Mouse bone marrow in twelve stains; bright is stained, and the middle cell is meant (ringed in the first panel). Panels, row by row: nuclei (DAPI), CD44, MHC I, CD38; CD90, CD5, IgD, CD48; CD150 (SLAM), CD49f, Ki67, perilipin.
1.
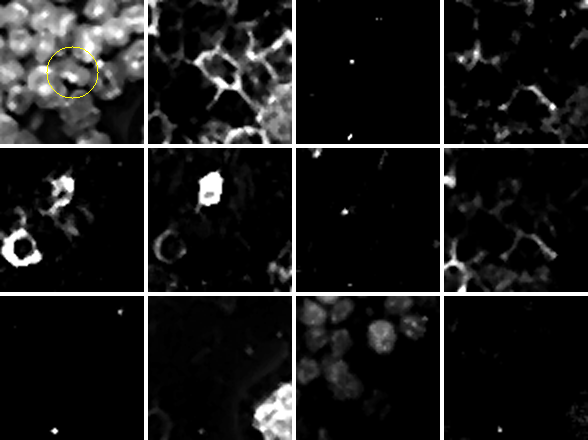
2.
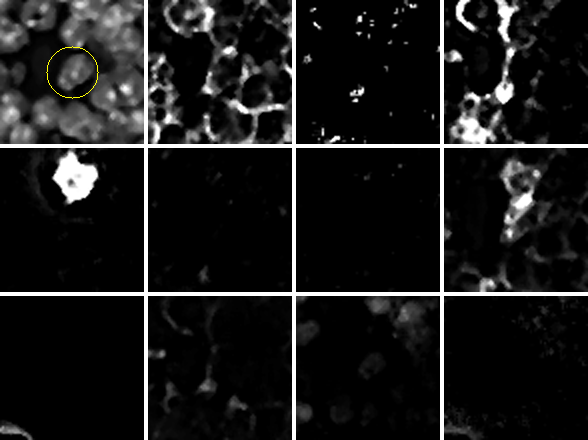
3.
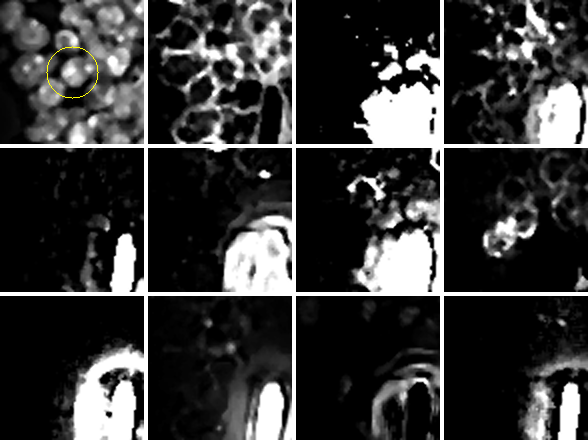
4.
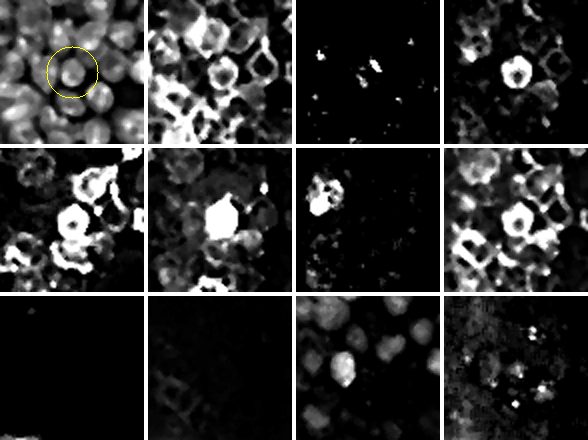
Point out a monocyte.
That is picture 3.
